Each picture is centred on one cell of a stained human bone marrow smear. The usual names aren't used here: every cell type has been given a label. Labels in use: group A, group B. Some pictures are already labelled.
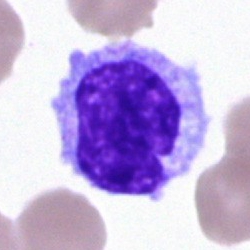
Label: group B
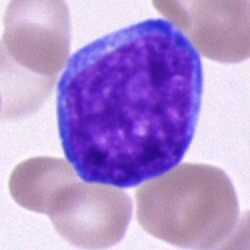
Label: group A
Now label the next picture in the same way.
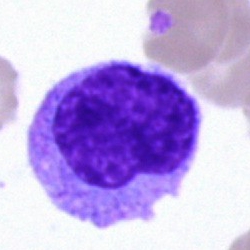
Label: group B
